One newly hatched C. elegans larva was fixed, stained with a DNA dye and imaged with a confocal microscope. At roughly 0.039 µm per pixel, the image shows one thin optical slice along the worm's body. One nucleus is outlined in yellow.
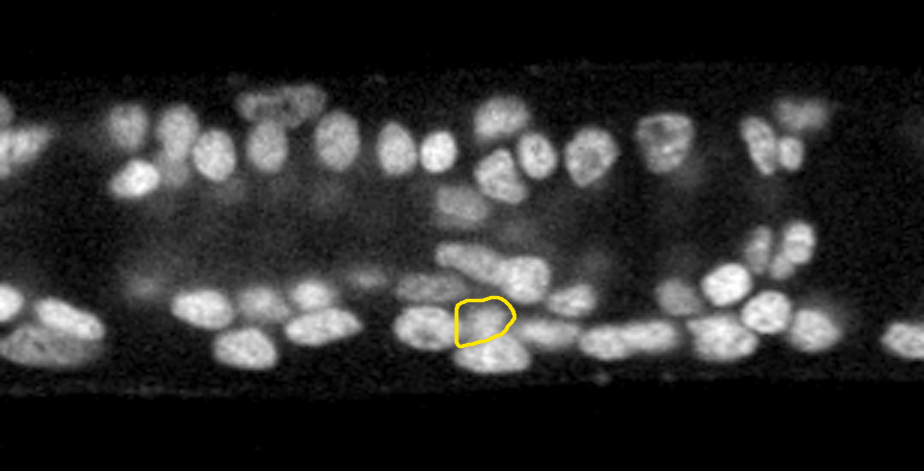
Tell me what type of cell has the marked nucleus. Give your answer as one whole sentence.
It is the nucleus of a neuron.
